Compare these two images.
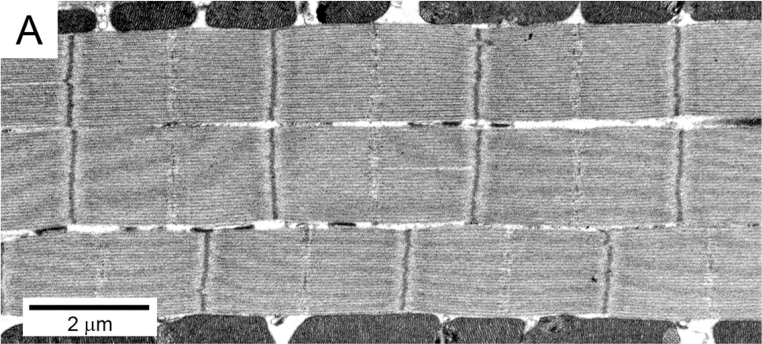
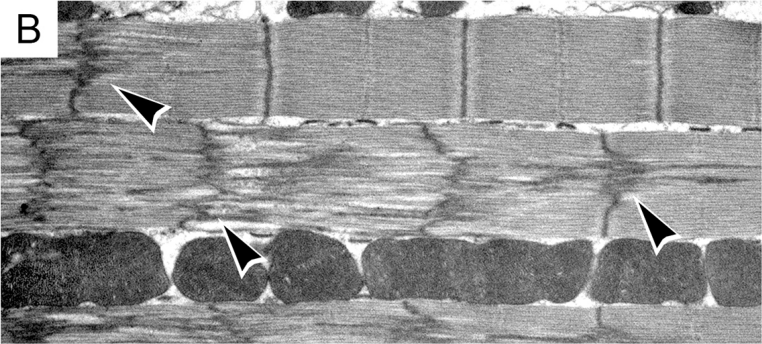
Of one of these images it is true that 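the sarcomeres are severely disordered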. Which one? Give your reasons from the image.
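Second image: the middle myofibril has bent, frayed transverse lines and wavy filaments. First image: all myofibrils have straight, evenly spaced transverse lines and parallel filaments.
Conclusion: the second image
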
